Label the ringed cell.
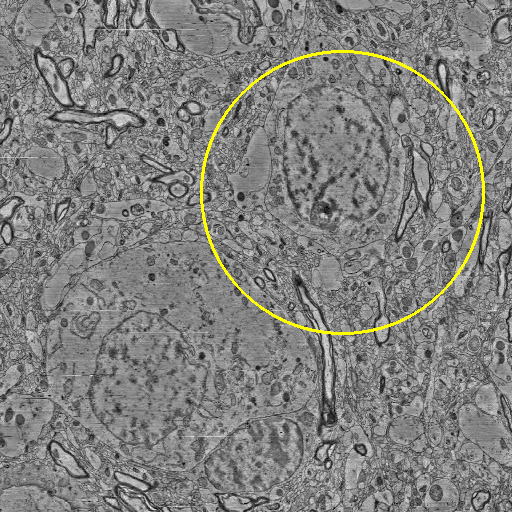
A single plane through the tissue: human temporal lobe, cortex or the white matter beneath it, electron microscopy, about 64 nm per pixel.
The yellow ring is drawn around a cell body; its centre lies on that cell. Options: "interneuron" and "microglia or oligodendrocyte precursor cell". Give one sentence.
The ringed cell is an interneuron.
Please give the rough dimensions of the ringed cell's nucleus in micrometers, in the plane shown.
The nucleus works out at approximately 9 by 7 micrometres in this plane.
